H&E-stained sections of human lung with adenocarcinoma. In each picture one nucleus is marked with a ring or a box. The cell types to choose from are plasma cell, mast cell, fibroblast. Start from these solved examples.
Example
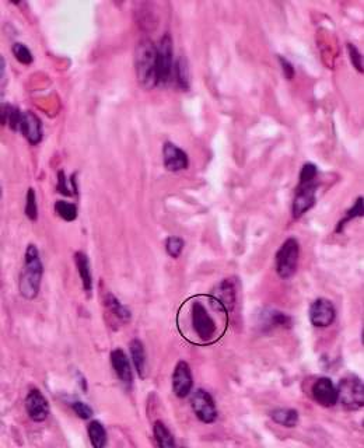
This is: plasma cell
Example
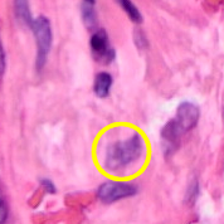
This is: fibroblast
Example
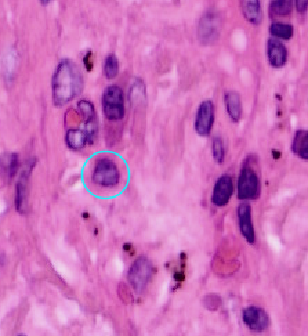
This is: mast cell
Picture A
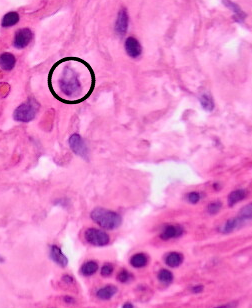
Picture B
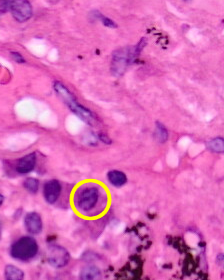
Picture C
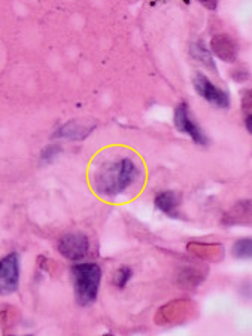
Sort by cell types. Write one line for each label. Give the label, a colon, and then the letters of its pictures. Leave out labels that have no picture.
plasma cell: B
fibroblast: A, C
